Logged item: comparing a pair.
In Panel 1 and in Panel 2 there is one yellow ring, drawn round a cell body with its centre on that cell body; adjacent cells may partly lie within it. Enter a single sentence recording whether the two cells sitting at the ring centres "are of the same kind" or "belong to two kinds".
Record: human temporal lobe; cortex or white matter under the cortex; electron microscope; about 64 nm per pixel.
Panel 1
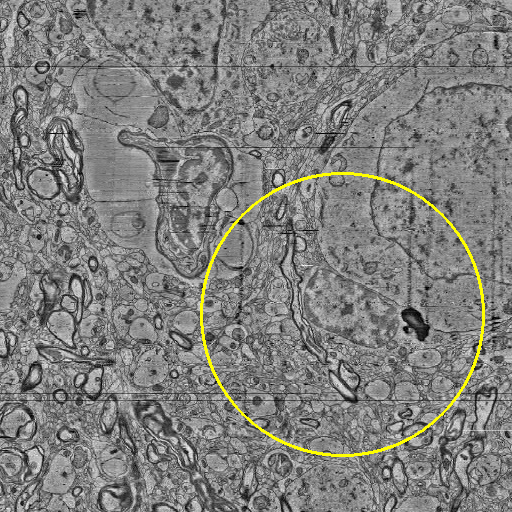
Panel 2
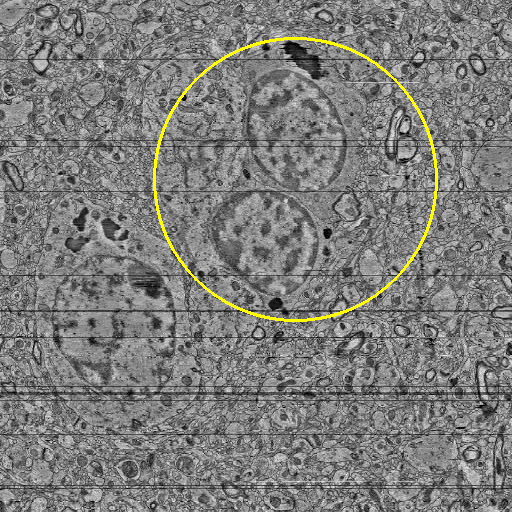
Logged: the cells centred in the rings of Panel 1 and Panel 2 are of the same kind.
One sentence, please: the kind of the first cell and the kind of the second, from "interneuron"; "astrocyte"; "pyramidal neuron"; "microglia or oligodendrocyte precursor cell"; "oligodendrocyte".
The ring centre holds an oligodendrocyte in each of the two pictures.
